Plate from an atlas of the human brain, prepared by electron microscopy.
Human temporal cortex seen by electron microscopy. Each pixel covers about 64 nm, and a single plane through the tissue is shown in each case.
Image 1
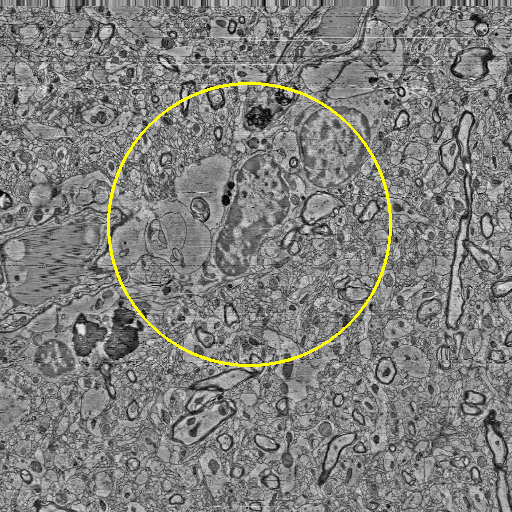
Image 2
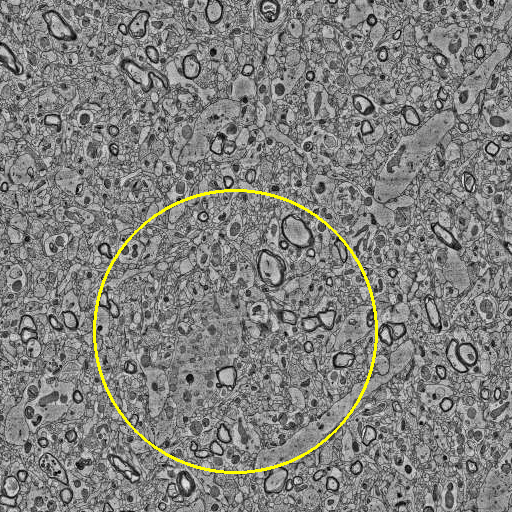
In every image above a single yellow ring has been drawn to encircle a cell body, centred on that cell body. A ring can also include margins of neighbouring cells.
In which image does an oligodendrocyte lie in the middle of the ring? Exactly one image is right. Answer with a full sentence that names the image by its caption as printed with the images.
Image 2 holds the requested cell at the very centre of its ring.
